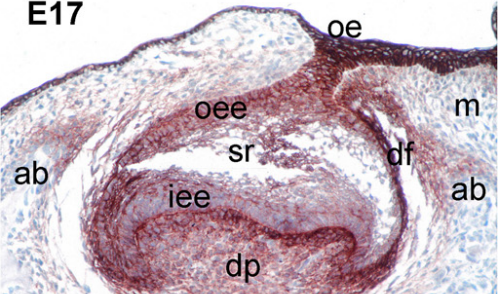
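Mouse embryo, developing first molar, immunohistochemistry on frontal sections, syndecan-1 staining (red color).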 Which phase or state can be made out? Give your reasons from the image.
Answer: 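The enamel organ is bell-shaped with a broad concave inner surface over the papilla. A loose, star-shaped central cell mass lies between inner and outer epithelial layers. The inner epithelial layer begins to fold. On this evidence: early bell.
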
